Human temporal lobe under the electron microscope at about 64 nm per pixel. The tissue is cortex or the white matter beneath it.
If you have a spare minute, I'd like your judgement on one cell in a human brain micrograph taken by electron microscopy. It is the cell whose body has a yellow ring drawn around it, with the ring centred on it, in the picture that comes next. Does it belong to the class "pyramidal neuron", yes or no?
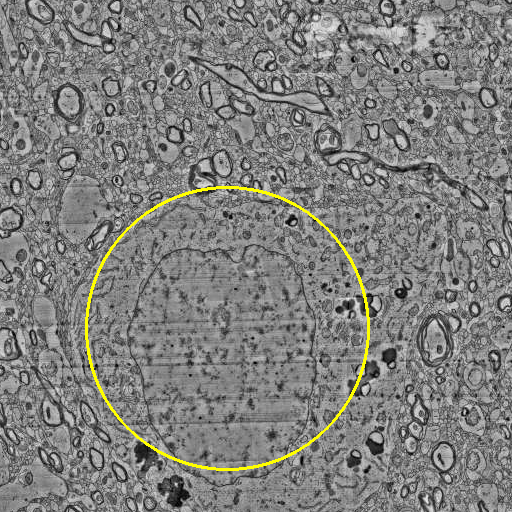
Yes, it belongs to that class.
